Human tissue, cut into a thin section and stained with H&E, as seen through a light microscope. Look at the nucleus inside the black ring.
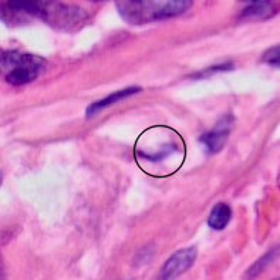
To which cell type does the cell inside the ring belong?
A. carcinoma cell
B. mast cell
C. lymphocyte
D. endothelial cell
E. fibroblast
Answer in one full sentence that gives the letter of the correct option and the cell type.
Of the options offered, E is correct, as the cell inside the ring is a fibroblast.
